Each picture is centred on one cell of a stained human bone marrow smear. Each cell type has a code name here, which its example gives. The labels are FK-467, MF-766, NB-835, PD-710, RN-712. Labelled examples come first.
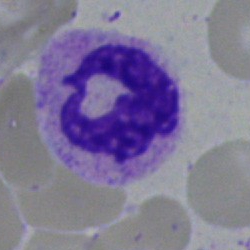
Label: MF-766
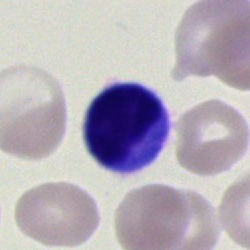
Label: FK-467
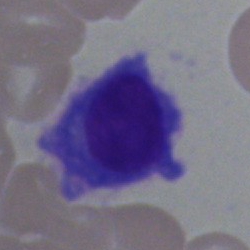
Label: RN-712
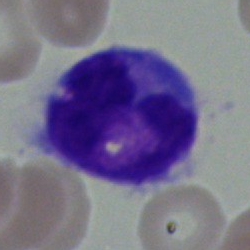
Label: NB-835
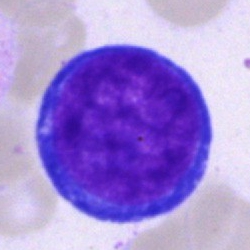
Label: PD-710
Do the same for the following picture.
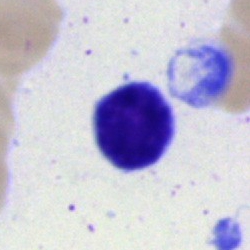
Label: FK-467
